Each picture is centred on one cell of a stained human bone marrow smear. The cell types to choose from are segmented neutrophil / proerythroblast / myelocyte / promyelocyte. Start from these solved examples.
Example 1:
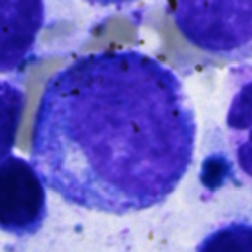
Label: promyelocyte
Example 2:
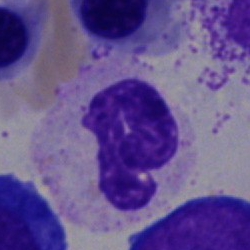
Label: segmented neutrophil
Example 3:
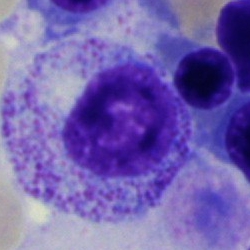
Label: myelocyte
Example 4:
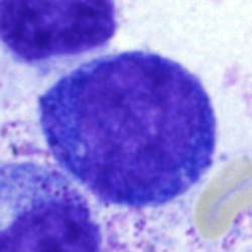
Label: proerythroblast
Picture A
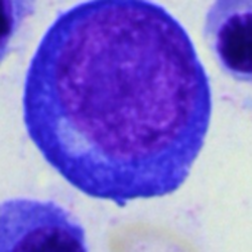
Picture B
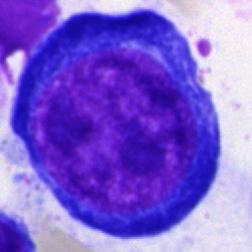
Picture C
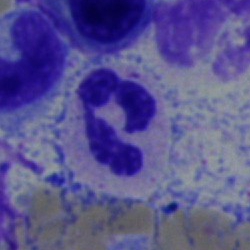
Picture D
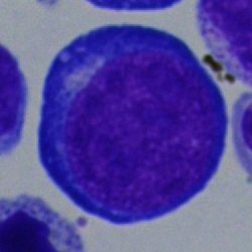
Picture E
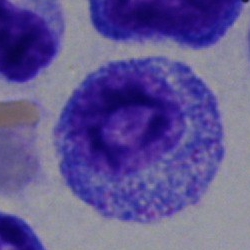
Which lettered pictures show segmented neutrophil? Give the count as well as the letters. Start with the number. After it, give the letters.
1: C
